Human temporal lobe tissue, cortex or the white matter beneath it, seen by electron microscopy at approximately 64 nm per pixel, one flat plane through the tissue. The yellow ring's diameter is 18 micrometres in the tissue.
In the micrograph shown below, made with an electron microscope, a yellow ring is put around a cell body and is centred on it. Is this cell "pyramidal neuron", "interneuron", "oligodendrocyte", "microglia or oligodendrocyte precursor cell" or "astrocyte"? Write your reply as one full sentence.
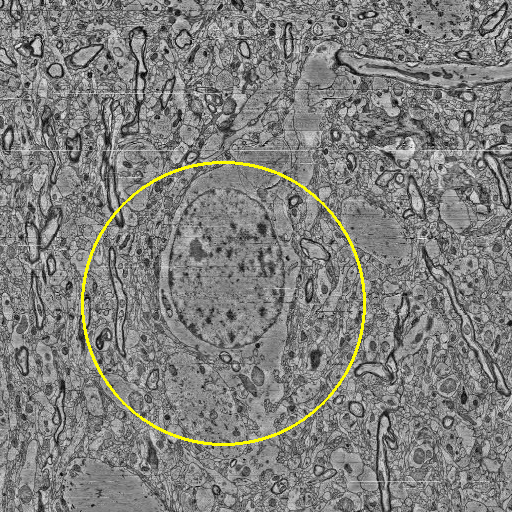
In the micrograph, an astrocyte is the cell at the centre of the yellow ring.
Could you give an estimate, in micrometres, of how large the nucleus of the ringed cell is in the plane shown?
The nucleus has a long axis of about 11 micrometres and a short axis of about 7 micrometres in this plane.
